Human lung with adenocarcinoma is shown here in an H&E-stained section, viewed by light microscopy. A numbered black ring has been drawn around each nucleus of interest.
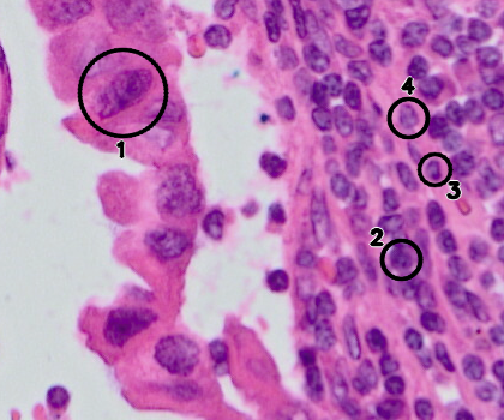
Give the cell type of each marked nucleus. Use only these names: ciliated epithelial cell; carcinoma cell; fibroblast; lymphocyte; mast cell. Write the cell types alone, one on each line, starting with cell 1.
carcinoma cell
lymphocyte
lymphocyte
lymphocyte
